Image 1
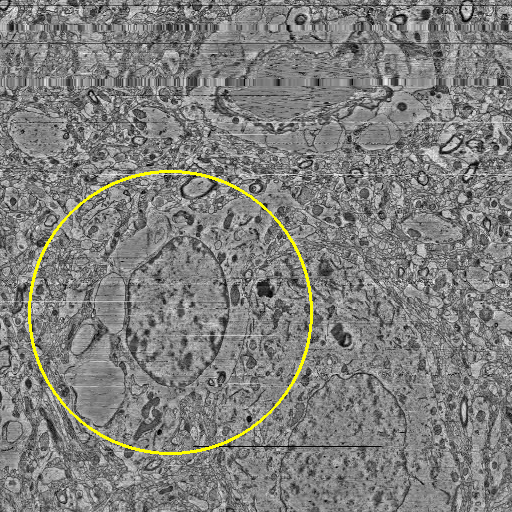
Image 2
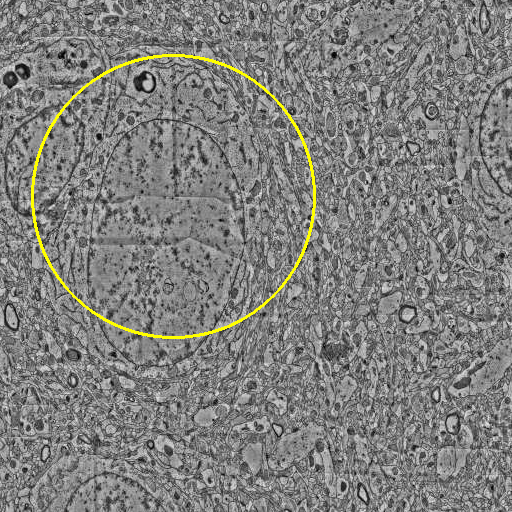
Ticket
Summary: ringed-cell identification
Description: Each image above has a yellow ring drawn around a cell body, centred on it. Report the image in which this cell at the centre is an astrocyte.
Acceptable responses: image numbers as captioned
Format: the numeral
1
